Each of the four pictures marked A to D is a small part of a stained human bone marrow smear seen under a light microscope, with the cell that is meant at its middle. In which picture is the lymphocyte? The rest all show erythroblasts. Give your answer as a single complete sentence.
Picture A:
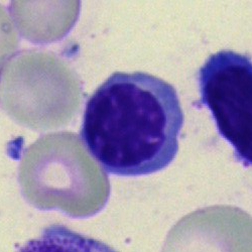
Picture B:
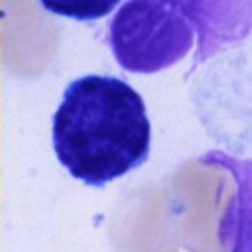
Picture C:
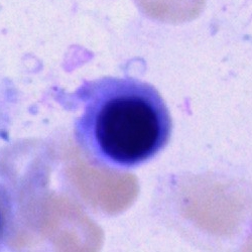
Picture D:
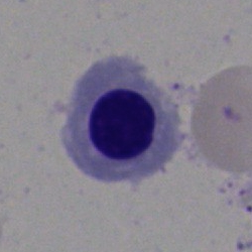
It is picture B that shows the lymphocyte.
